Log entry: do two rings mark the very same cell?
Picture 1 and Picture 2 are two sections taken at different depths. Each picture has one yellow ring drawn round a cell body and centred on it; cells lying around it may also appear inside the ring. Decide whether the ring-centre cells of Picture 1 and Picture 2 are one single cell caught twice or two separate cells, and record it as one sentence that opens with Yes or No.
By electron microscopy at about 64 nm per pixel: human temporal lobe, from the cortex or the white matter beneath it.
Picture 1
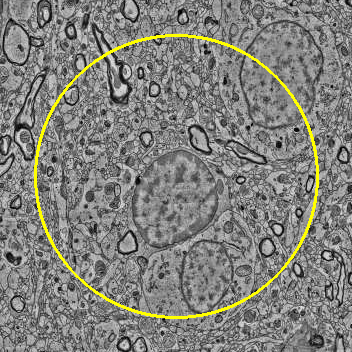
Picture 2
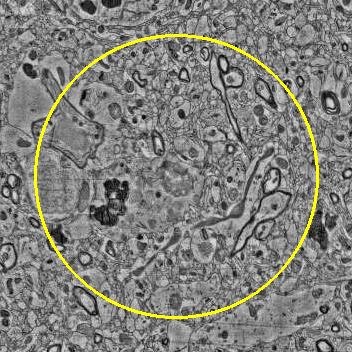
No, the two yellow rings surround two different cells.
